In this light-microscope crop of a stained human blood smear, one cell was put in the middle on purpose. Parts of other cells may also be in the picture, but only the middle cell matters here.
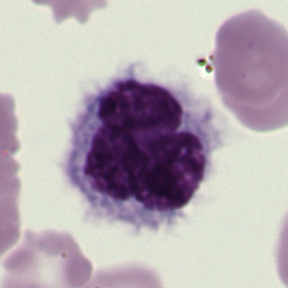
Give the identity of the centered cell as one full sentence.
On this slide crop, the central cell is a hairy cell.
